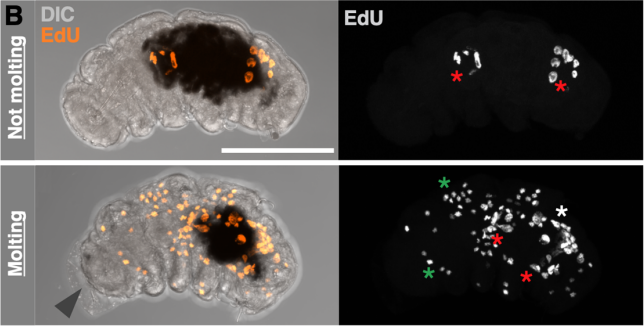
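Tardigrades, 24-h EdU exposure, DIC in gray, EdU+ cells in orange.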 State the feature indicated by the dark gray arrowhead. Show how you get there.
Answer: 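The arrowhead points to a thin, clear outer layer at one end of the lower animal. This layer stands apart from the body surface beneath it.
Conclusion: old cuticle being molted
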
